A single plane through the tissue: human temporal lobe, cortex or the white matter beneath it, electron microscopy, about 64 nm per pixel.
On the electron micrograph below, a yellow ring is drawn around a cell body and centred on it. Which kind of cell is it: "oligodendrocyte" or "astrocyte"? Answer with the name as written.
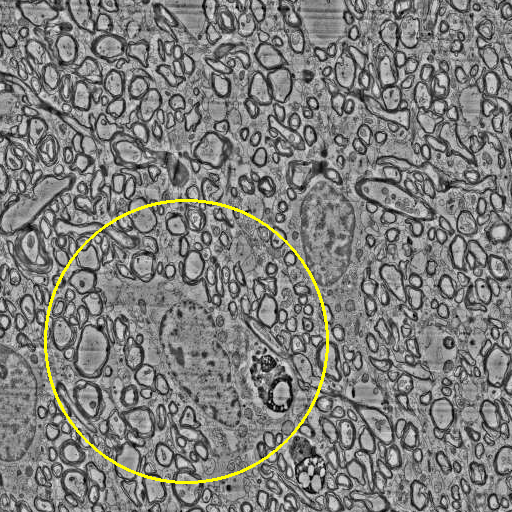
astrocyte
